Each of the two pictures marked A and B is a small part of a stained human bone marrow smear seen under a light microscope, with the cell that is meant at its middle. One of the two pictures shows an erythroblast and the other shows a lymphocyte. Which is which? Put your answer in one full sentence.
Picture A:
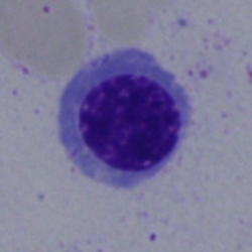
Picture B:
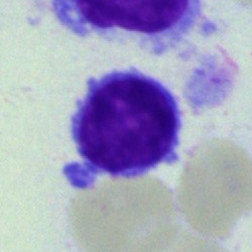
In picture A the cell is an erythroblast; in picture B, a lymphocyte.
